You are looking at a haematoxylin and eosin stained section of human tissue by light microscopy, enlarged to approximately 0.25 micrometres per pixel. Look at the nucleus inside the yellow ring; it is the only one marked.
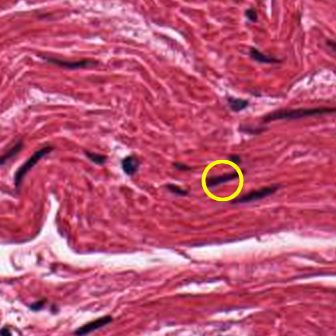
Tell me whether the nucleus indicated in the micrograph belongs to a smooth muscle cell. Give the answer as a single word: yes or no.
yes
